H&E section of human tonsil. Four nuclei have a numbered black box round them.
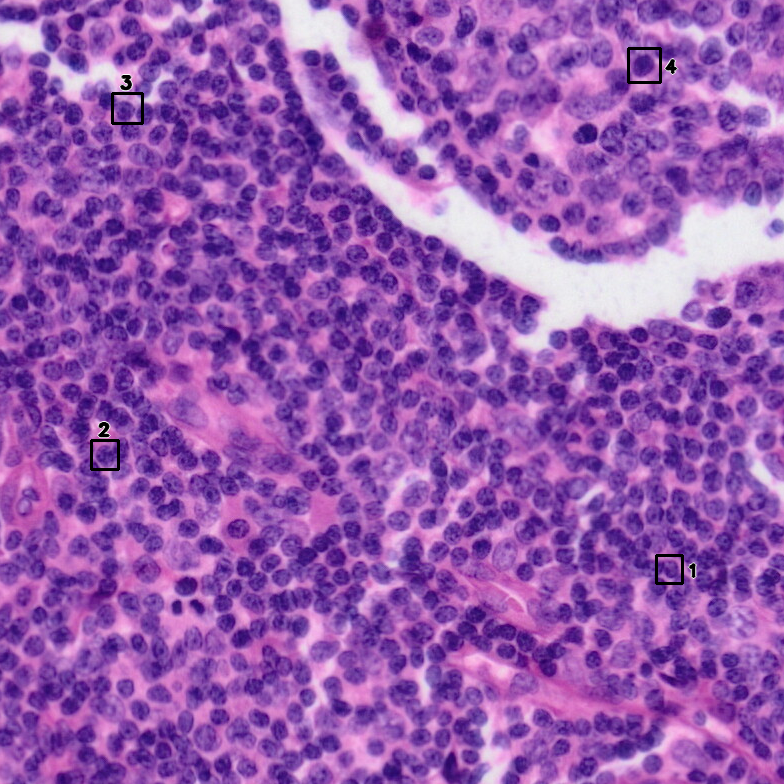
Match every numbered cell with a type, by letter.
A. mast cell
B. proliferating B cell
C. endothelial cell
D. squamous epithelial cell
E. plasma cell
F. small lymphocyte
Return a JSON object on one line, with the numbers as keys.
{"1": "F", "2": "F", "3": "F", "4": "B"}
